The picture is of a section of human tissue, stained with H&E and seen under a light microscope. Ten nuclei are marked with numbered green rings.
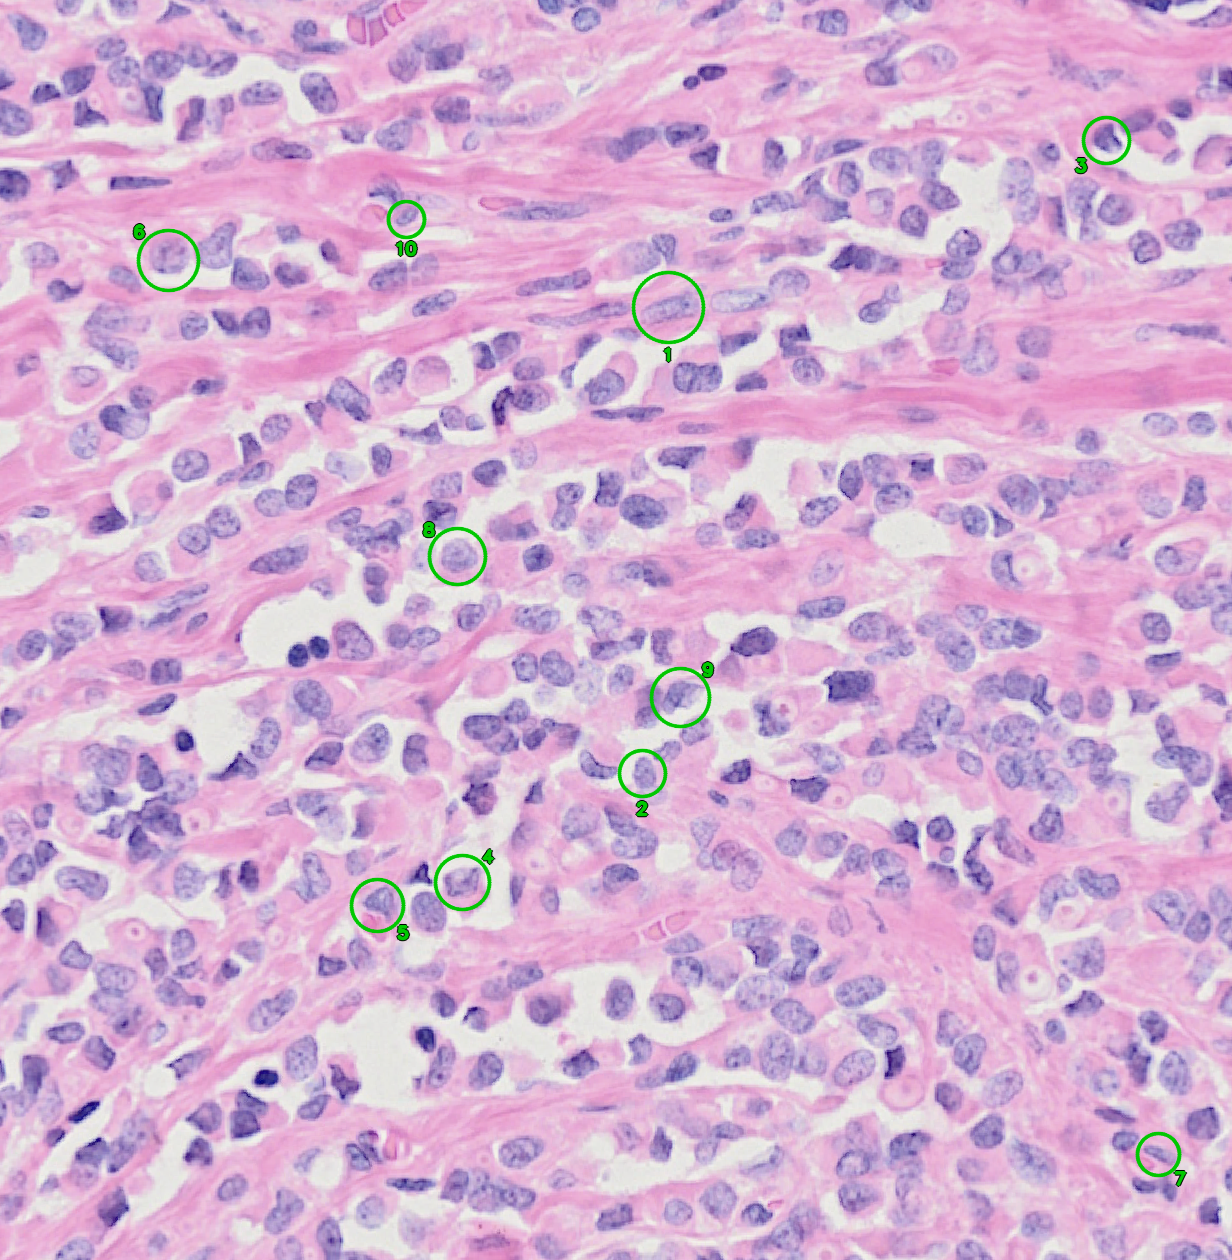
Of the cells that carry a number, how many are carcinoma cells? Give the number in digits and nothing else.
6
